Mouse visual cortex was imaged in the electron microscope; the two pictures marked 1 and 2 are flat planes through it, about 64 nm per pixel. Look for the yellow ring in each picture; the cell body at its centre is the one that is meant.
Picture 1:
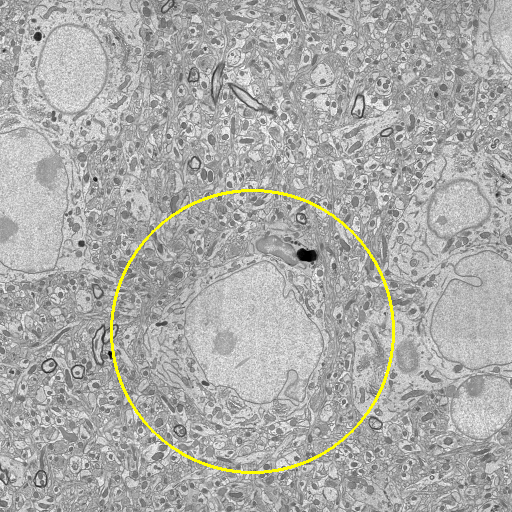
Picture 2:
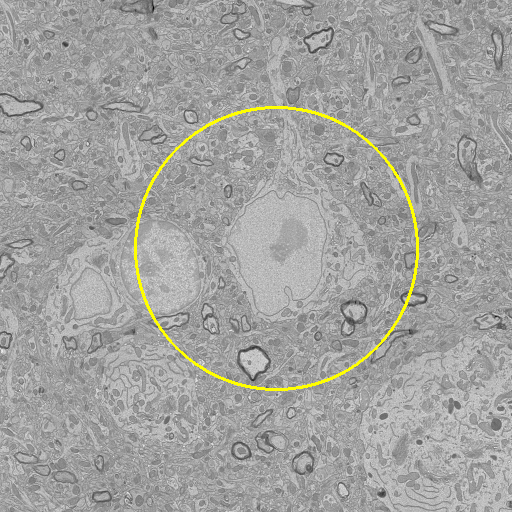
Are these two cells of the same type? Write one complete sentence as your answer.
No, picture 1 shows an inhibitory neuron and picture 2 shows an excitatory neuron.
